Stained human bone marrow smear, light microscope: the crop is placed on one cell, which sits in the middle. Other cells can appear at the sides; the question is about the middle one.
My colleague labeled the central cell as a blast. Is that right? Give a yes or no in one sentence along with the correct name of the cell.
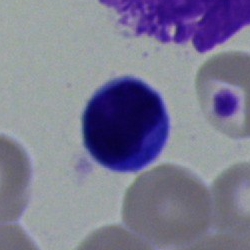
No, this is not a blast at all; the cell in the middle is a lymphocyte.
